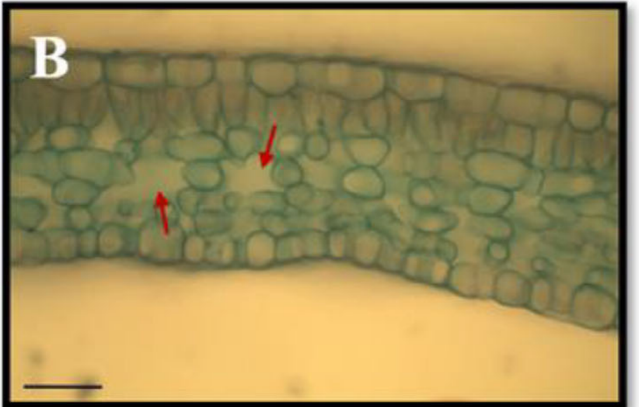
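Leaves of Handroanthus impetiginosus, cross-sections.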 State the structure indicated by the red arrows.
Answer: Intercellular space.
